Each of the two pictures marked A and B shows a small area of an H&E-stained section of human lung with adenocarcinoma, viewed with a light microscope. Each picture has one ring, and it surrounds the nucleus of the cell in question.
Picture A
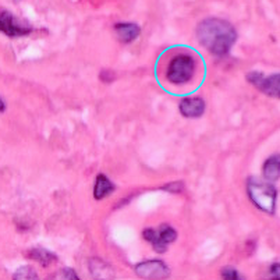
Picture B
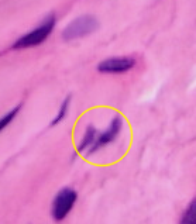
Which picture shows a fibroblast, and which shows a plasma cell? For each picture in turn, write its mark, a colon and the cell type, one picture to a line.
A: plasma cell
B: fibroblast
